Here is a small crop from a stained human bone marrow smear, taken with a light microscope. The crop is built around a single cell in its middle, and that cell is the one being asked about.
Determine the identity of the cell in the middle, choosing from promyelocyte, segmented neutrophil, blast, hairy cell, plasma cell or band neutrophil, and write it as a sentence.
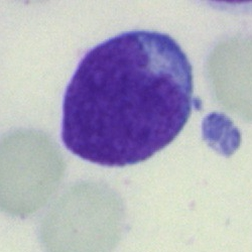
The middle cell in this particular crop is a blast.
